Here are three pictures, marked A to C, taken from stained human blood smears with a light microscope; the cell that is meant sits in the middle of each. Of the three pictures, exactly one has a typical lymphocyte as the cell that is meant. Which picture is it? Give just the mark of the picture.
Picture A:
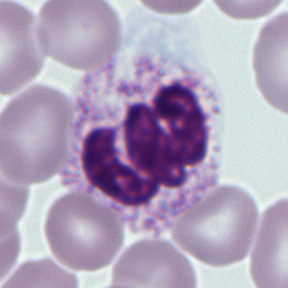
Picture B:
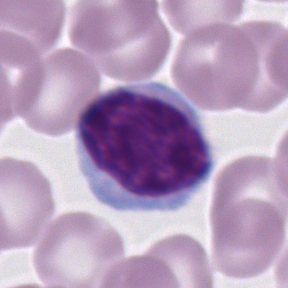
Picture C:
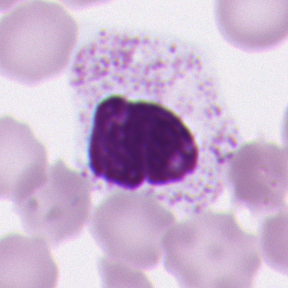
B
